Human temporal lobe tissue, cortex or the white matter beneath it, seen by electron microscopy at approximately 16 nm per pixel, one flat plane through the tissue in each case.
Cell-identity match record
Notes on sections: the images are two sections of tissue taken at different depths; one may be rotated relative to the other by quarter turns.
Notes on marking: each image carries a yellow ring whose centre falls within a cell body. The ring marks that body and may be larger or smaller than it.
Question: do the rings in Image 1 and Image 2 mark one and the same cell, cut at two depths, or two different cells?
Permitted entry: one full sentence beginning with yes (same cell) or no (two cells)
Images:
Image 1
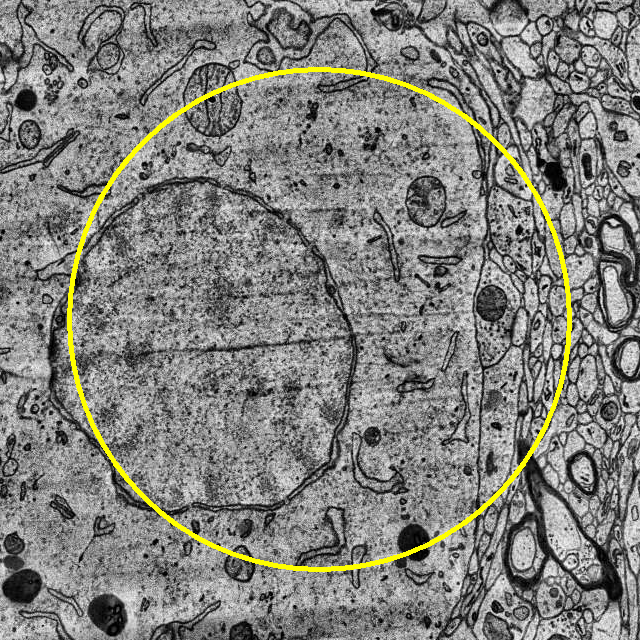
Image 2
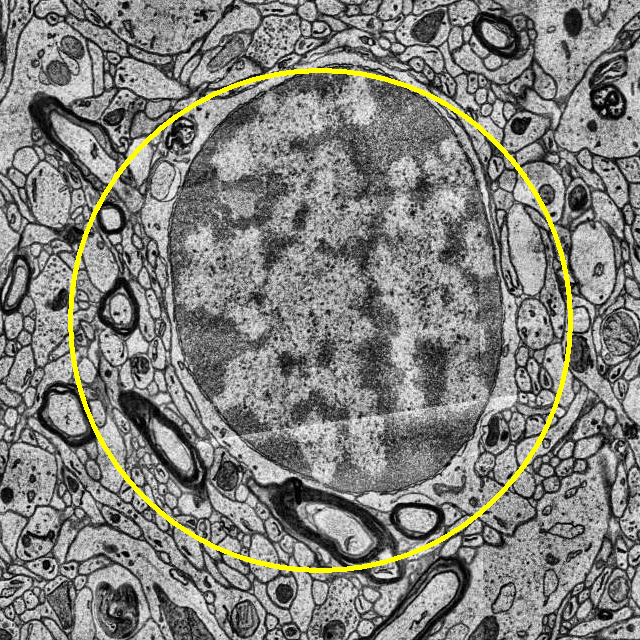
Yes, the cell marked in each ring is one and the same.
